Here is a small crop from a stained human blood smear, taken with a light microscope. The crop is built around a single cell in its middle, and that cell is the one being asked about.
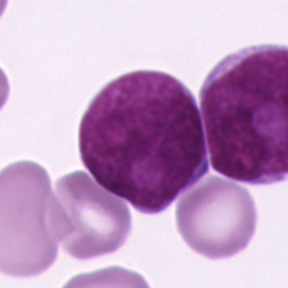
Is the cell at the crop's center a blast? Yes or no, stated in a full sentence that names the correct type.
Yes, the cell under consideration, the one in the middle, is a blast.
